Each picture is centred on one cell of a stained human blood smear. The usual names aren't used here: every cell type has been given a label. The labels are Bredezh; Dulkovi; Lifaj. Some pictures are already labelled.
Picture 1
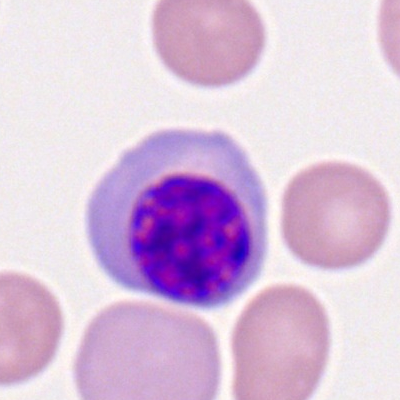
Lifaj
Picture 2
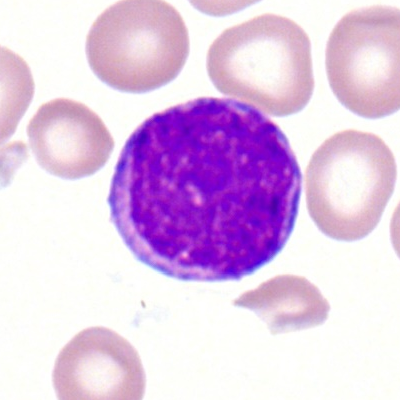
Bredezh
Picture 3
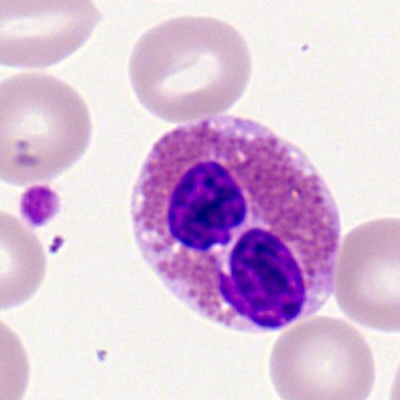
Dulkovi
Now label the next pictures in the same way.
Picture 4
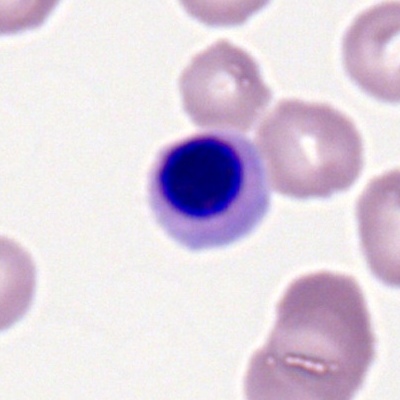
Lifaj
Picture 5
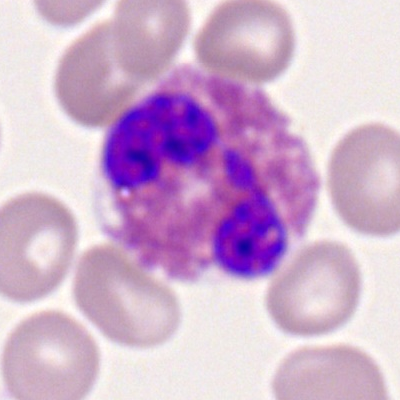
Dulkovi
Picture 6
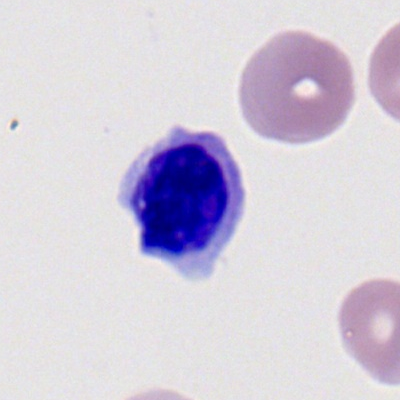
Lifaj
